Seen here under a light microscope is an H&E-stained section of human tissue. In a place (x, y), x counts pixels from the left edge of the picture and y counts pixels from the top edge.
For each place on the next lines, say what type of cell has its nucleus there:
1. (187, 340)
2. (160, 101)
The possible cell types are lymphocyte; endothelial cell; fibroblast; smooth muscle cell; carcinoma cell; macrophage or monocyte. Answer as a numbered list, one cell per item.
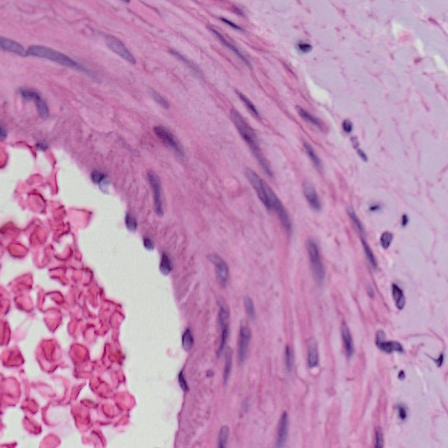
1. endothelial cell
2. smooth muscle cell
